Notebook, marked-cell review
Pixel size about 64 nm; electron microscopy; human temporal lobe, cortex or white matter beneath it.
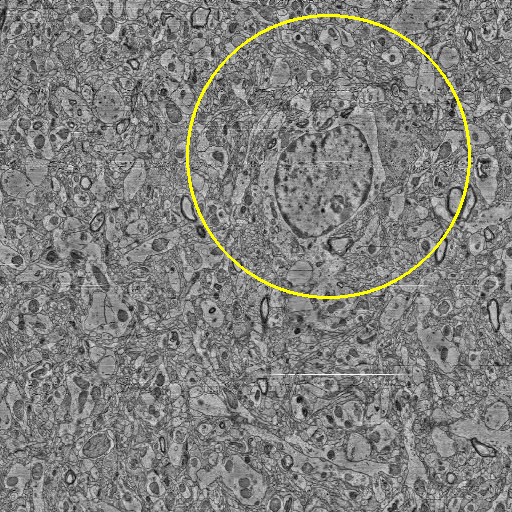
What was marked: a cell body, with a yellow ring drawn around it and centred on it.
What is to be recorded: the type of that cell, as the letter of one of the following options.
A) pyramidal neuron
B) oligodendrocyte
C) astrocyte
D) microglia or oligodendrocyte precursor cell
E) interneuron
D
